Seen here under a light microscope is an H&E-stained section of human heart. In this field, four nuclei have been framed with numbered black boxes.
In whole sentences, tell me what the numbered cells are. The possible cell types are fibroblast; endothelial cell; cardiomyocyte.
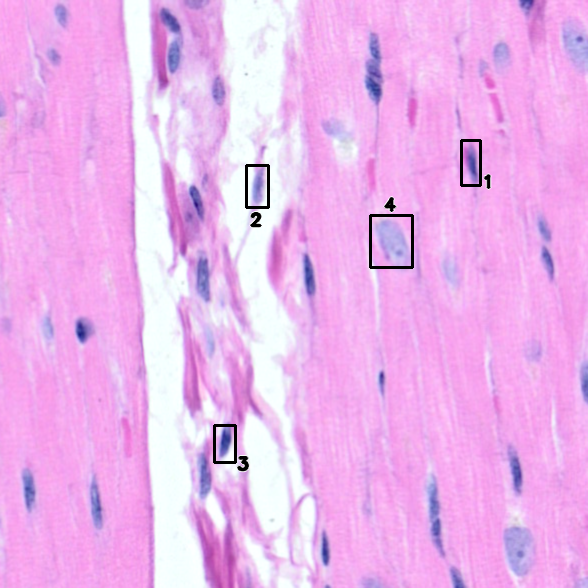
Cell 1 is an endothelial cell. Cells 2 and 3 are fibroblasts. Cell 4 is a cardiomyocyte.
